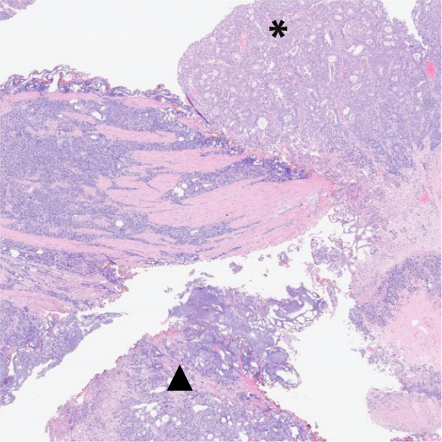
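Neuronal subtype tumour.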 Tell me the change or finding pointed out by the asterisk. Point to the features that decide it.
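Glandular. The region under the asterisk is a tumour nodule pierced by many small round gland-like spaces. The tumour cells line these spaces rather than forming solid sheets.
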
